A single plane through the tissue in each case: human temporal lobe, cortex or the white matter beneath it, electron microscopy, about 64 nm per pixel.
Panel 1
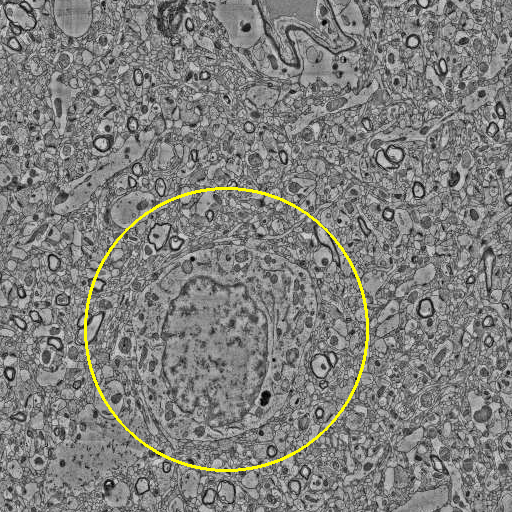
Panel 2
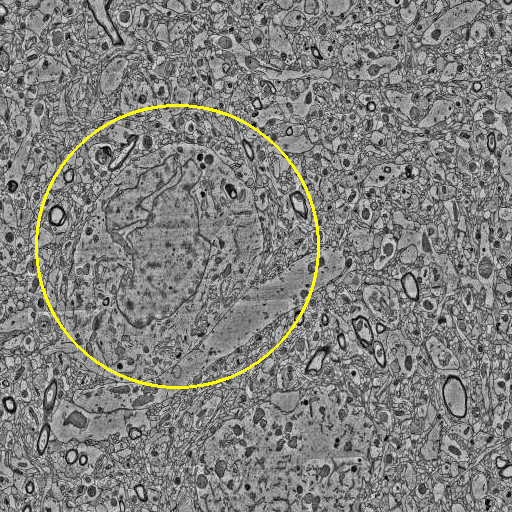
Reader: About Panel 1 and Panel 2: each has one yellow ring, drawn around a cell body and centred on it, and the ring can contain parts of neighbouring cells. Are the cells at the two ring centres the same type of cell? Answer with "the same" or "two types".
the same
